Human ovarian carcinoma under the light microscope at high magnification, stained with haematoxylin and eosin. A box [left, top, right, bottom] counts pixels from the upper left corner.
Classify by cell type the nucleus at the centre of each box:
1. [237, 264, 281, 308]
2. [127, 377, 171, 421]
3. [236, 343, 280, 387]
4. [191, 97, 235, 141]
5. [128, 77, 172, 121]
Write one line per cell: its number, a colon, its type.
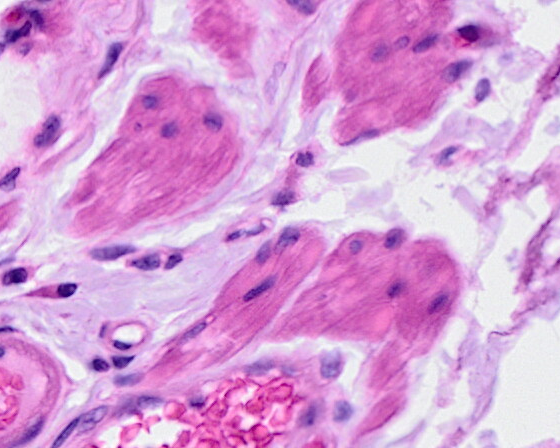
1: smooth muscle cell
2: endothelial cell
3: endothelial cell
4: smooth muscle cell
5: smooth muscle cell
